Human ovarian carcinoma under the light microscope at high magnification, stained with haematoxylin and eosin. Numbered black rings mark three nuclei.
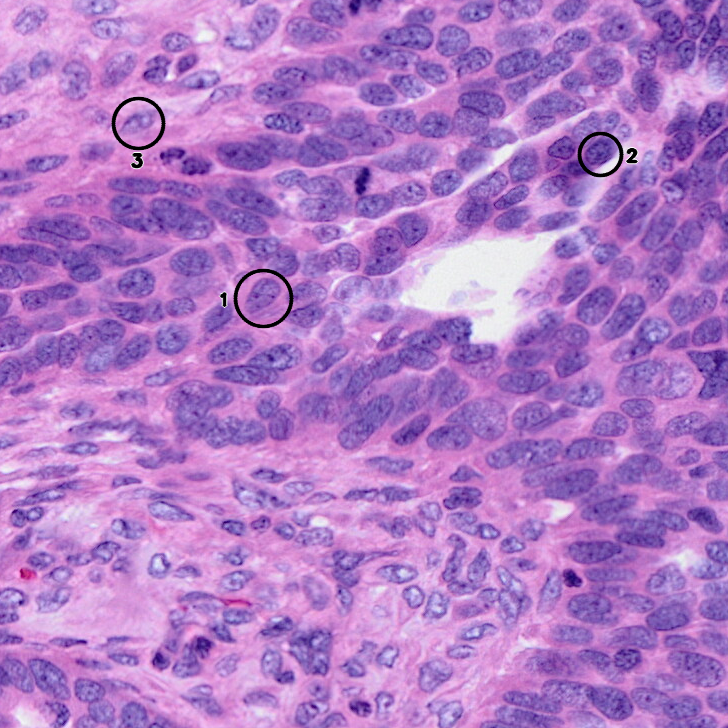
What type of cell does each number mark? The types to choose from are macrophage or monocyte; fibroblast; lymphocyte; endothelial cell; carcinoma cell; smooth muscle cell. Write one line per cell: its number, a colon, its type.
1: carcinoma cell
2: carcinoma cell
3: fibroblast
